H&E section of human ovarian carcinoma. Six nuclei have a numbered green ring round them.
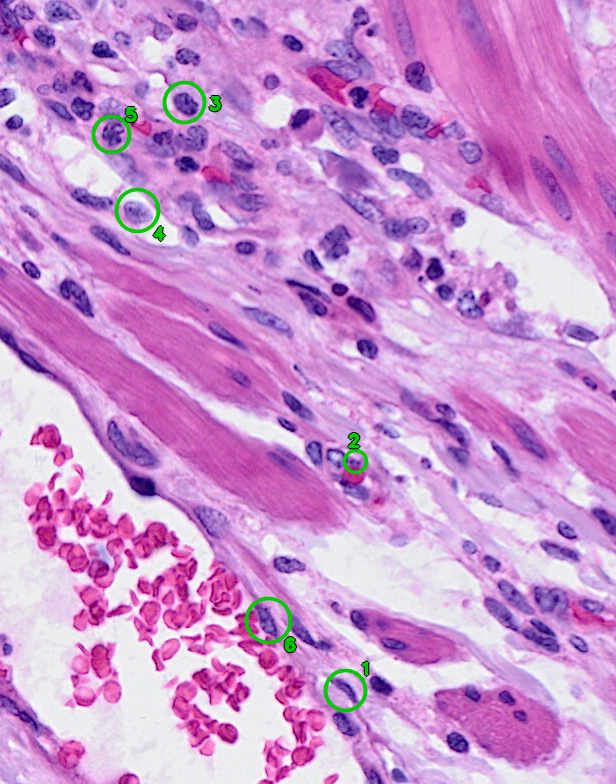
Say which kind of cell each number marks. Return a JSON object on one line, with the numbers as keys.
{"1": "fibroblast", "2": "endothelial cell", "3": "lymphocyte", "4": "macrophage or monocyte", "5": "lymphocyte", "6": "endothelial cell"}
